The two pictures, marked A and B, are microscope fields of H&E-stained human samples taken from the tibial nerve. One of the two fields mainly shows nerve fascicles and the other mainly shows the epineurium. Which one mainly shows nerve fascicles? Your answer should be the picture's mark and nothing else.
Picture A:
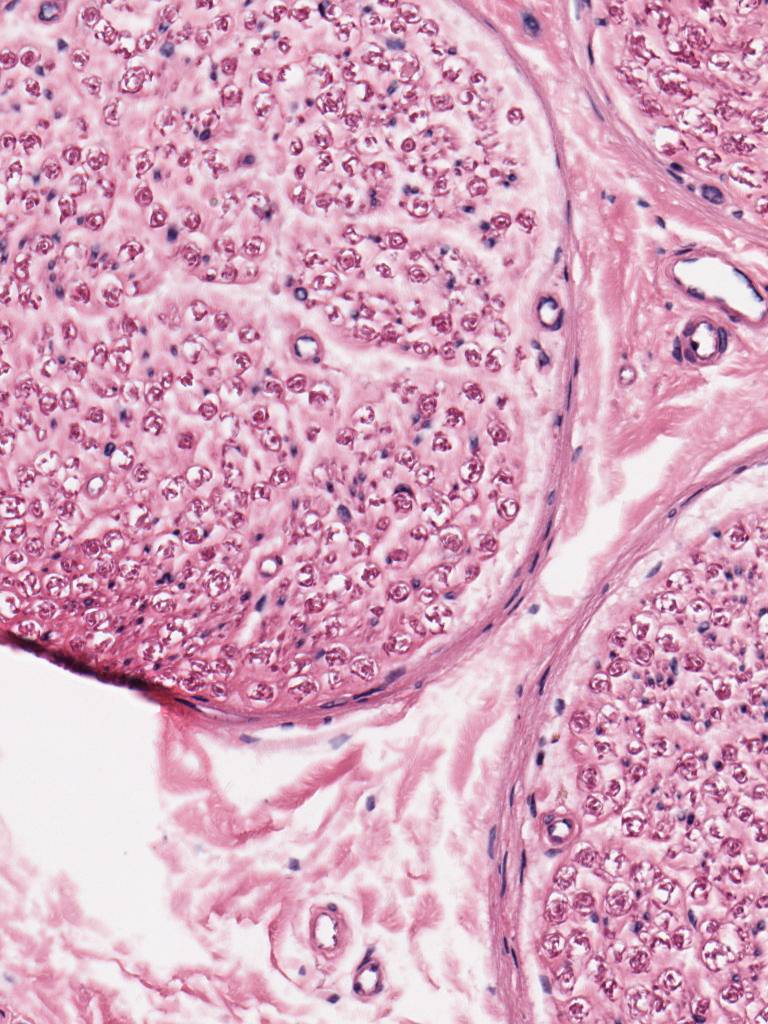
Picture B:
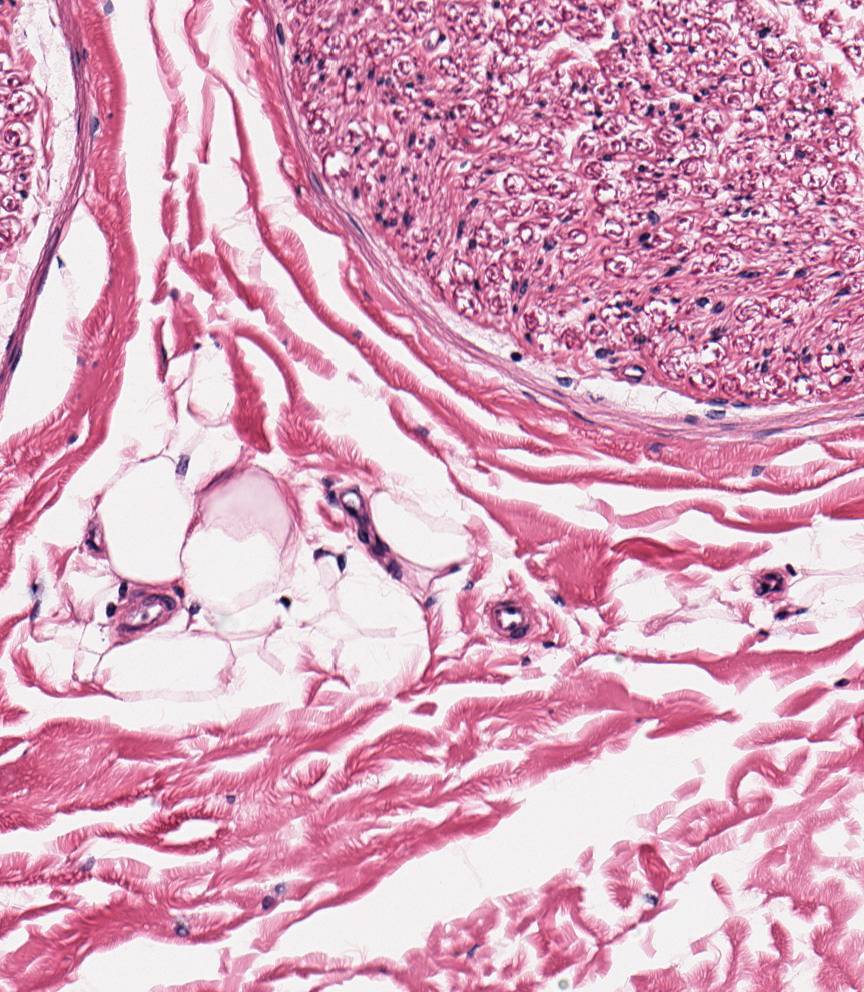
A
